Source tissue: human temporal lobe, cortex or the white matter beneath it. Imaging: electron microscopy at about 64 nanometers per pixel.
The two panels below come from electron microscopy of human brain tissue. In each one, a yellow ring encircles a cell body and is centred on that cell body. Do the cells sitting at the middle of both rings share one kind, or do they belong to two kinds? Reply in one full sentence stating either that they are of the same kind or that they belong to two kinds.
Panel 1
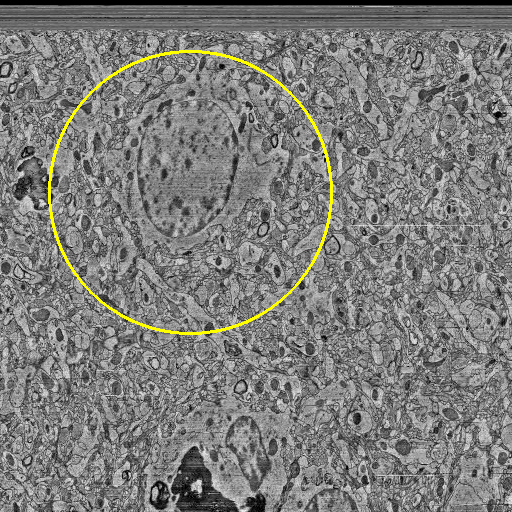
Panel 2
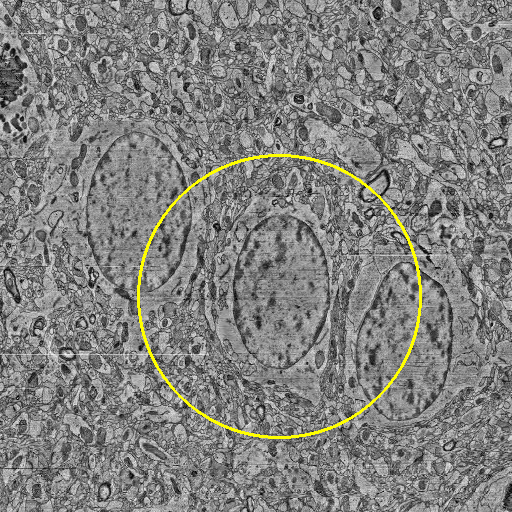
The cells at the centres of the two rings are of the same kind.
